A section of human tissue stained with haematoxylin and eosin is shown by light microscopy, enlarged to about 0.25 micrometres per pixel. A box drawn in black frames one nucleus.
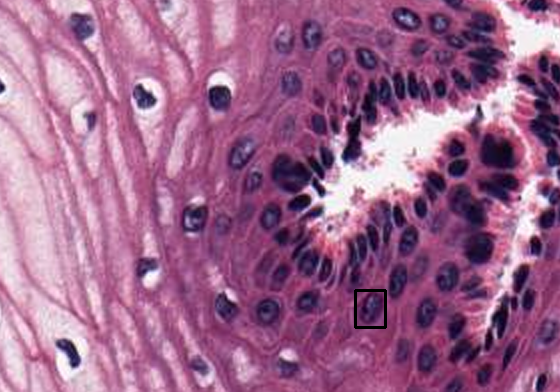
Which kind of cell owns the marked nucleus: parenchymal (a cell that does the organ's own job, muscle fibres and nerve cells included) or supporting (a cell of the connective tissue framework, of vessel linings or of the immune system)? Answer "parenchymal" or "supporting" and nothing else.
parenchymal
